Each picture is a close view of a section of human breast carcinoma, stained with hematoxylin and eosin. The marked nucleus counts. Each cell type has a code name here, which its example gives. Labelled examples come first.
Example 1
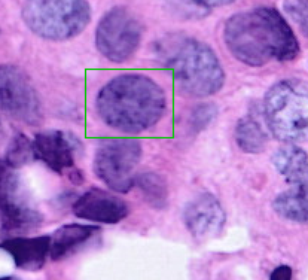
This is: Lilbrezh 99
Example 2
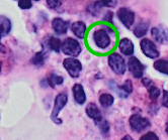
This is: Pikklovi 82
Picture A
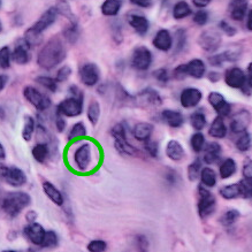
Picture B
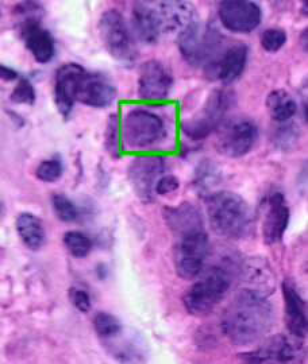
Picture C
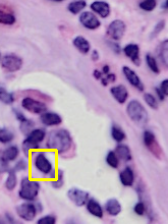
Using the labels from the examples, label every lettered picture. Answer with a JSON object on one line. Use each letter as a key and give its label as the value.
{"A": "Pikklovi 82", "B": "Lilbrezh 99", "C": "Pikklovi 82"}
